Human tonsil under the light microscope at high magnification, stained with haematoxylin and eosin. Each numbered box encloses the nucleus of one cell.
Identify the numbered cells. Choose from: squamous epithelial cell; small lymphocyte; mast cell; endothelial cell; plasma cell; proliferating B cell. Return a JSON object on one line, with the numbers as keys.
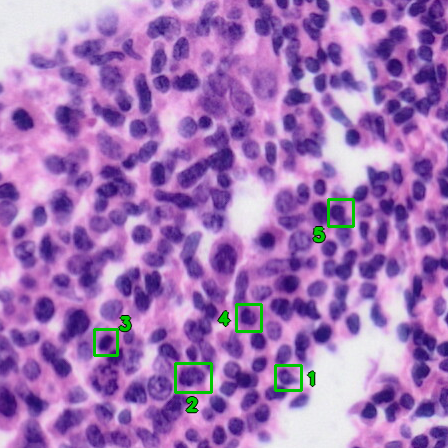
{"1": "small lymphocyte", "2": "proliferating B cell", "3": "proliferating B cell", "4": "plasma cell", "5": "small lymphocyte"}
